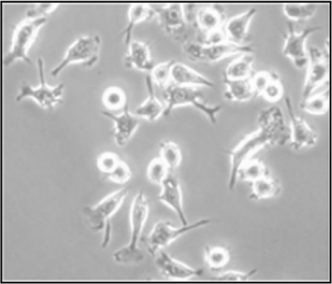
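A sparse culture of unstained cells shows two forms side by side: small, round, bright refractile cells with a halo, and flattened cells that spread on the dish. The flattened cells are spindle-shaped or star-shaped and put out two or more thin, sometimes branched processes. The round bright cells look only loosely attached, beside the spread, branched ones.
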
